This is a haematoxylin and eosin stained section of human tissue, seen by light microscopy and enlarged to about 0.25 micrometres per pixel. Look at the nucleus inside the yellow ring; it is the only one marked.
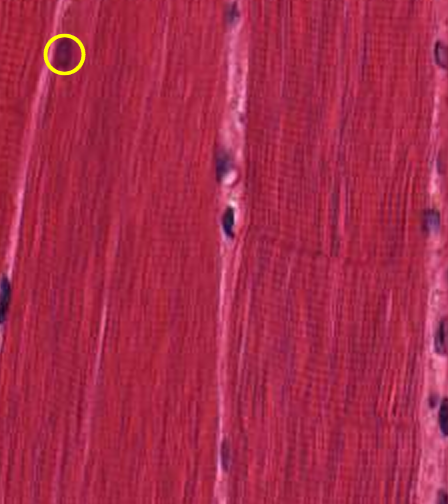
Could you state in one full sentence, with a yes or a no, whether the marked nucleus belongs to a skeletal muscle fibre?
Yes, the nucleus pointed to by the marking is that of a skeletal muscle fibre.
